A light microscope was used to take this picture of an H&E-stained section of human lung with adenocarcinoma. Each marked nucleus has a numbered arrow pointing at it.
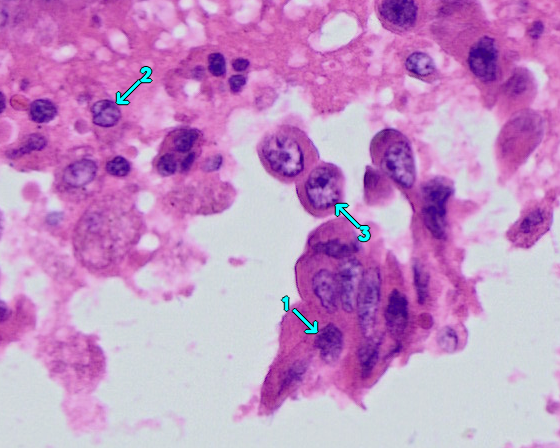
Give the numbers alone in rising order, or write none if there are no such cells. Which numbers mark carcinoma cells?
1, 3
